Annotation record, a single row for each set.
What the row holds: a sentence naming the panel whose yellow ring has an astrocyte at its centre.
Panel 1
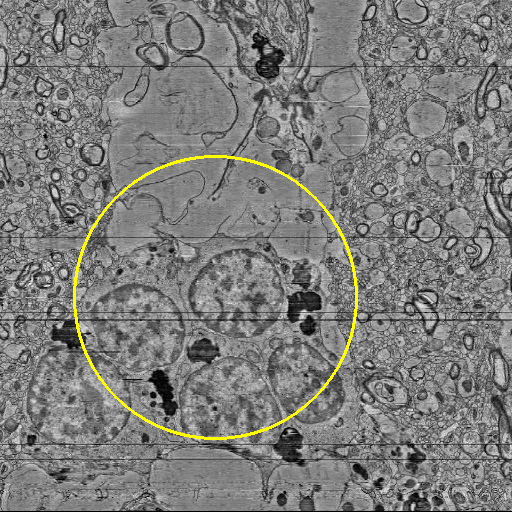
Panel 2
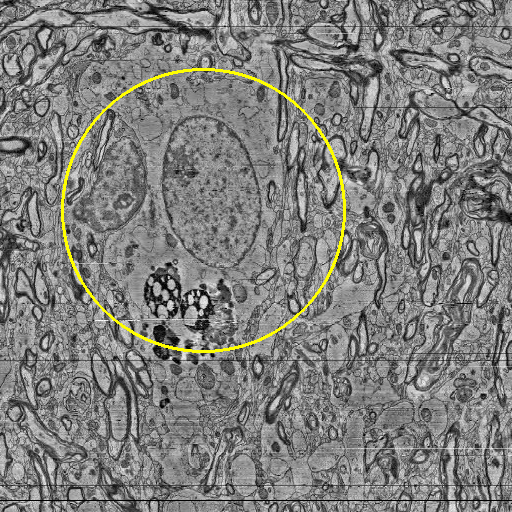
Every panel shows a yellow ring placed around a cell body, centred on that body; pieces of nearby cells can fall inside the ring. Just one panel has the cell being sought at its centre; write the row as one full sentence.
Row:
In panel 2, the cell at the middle of the yellow ring is the one sought.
